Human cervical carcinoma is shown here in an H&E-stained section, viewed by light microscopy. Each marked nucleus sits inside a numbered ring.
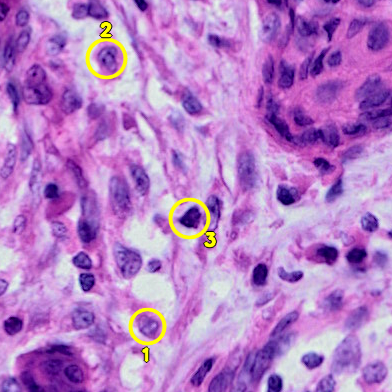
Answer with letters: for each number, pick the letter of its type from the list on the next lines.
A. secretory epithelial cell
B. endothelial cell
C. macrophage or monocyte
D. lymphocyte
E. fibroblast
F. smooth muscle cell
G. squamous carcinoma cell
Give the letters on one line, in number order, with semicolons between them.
C; C; D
